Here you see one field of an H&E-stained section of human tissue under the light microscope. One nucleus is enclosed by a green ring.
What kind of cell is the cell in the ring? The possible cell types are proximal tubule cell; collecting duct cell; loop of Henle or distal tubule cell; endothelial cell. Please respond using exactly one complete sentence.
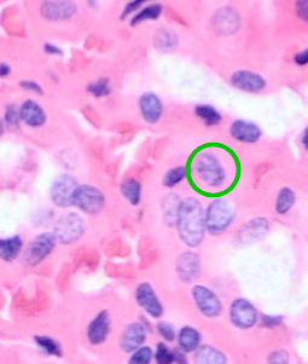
In the tissue at hand, the cell in the ring is a collecting duct cell.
